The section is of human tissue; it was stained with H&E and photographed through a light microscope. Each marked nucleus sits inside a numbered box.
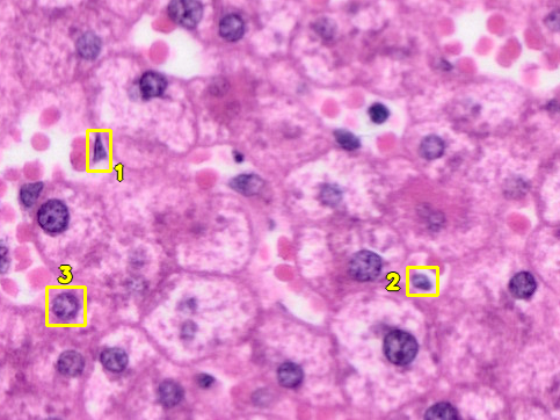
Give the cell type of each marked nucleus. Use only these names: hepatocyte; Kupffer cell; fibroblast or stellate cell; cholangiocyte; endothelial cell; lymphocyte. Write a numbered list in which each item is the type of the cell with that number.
1. endothelial cell
2. lymphocyte
3. hepatocyte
